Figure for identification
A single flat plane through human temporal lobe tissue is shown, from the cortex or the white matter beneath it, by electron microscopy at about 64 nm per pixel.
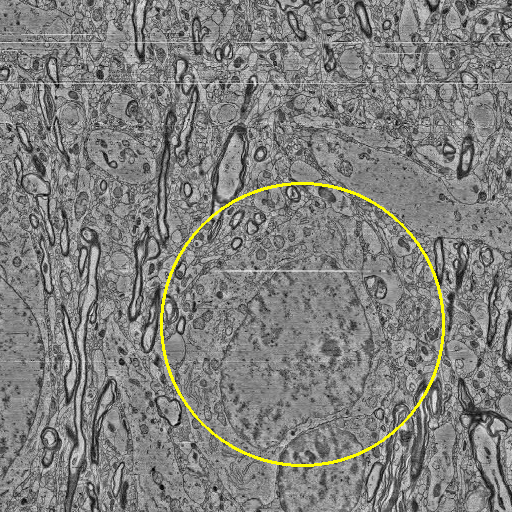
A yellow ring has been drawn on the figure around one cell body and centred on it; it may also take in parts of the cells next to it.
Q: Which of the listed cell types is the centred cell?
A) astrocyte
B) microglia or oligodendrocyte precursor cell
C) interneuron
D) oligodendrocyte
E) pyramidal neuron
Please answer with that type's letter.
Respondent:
C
